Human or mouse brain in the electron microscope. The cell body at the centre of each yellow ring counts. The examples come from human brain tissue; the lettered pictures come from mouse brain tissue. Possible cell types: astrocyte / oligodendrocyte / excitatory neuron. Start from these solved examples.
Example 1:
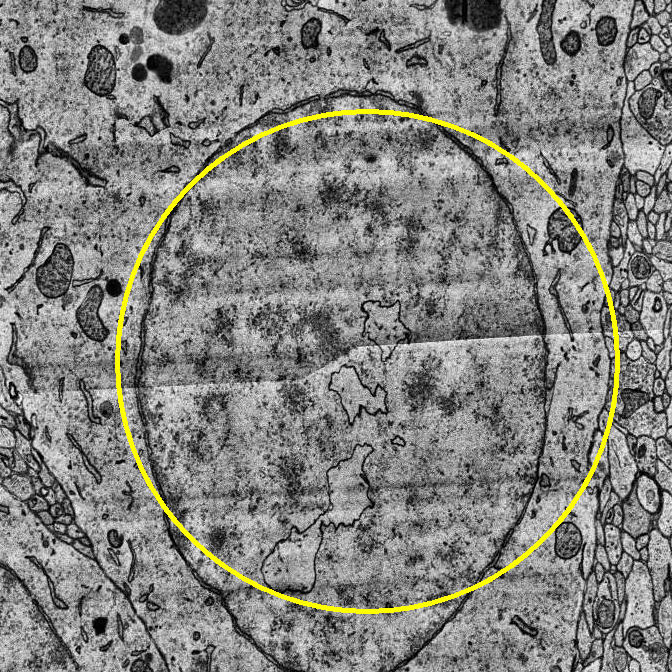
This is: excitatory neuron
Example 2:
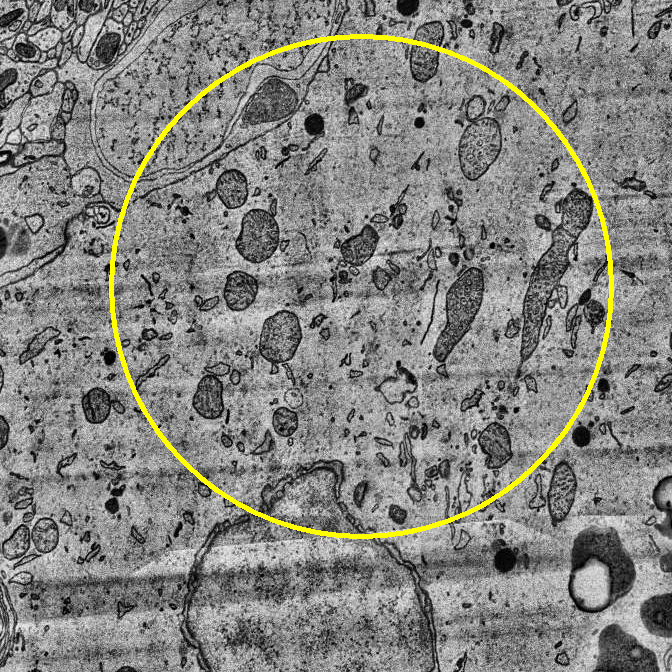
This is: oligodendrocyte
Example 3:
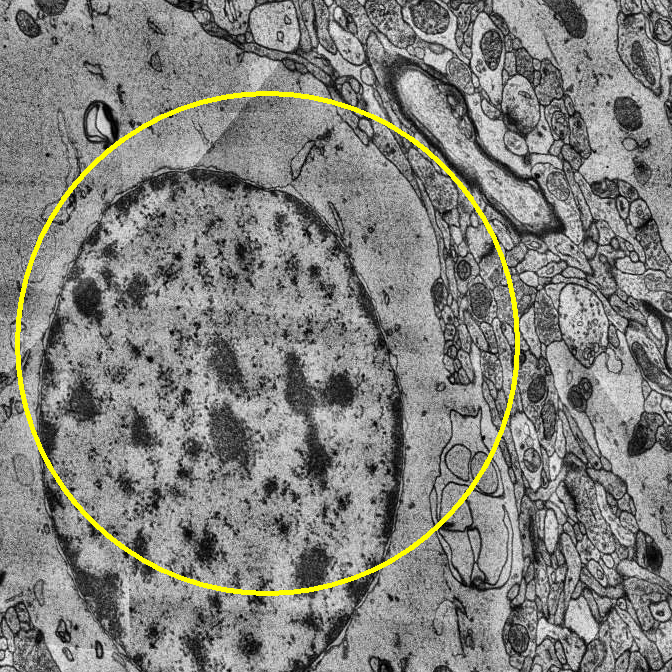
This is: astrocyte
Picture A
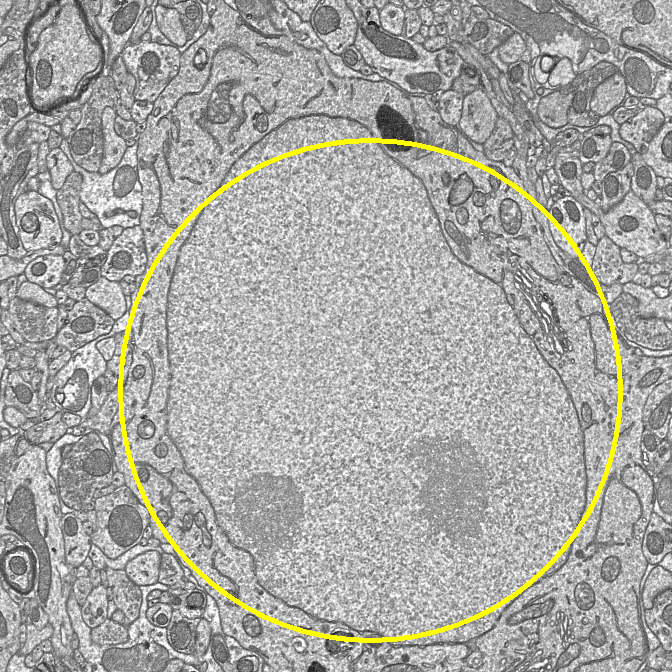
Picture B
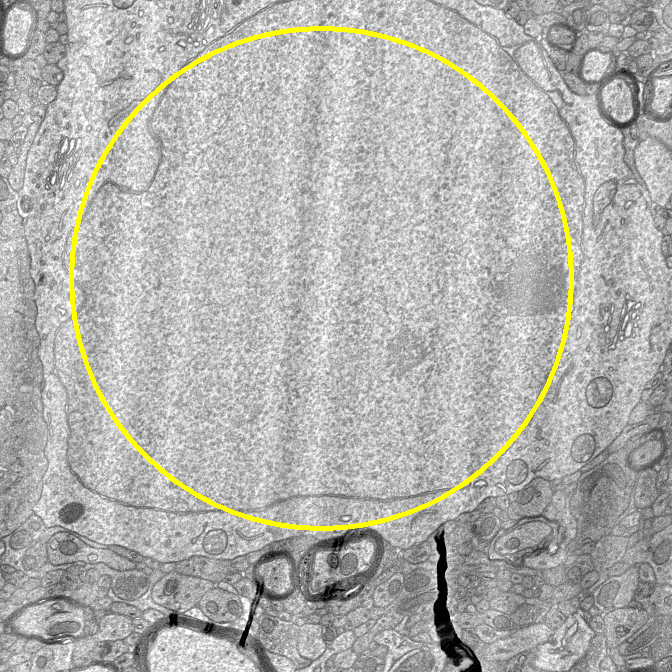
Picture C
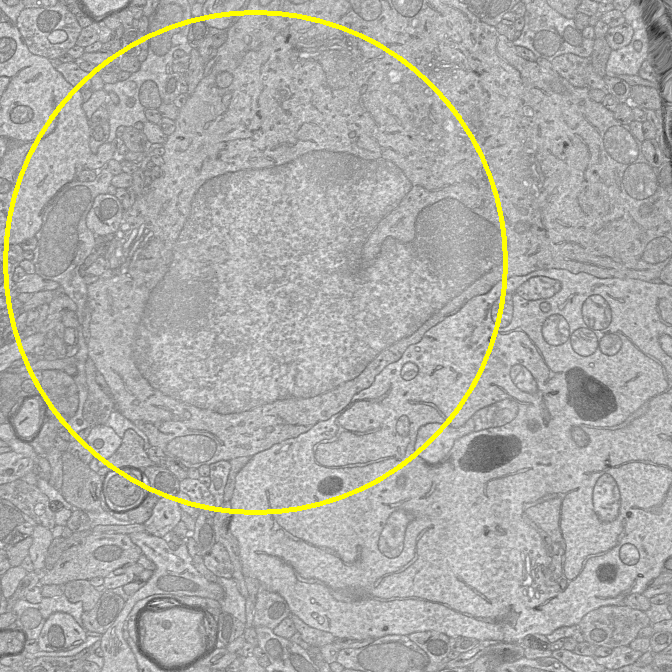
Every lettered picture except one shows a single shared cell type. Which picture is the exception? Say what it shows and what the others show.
C (oligodendrocyte) is the exception; every other picture is excitatory neuron.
